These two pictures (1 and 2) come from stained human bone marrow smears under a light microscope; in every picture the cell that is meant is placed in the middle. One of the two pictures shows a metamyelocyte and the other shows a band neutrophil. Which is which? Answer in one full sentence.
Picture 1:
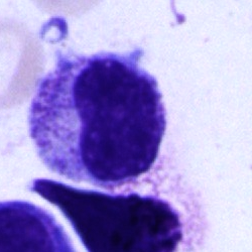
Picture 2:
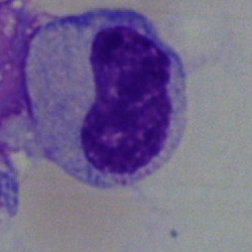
It is picture 1 that shows a metamyelocyte, and picture 2 that shows a band neutrophil.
